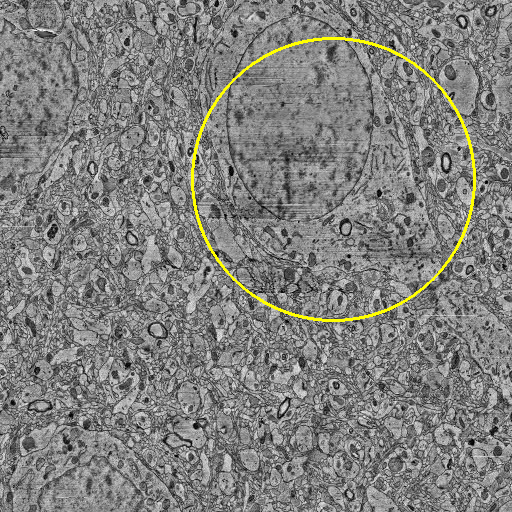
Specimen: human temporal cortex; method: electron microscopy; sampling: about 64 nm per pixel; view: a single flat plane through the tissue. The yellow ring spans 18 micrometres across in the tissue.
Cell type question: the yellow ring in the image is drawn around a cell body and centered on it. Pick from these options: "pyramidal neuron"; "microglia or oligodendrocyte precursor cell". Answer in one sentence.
The ringed cell at the center is a pyramidal neuron.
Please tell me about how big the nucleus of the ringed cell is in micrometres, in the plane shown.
In this plane, approximately 14 by 10 micrometers.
